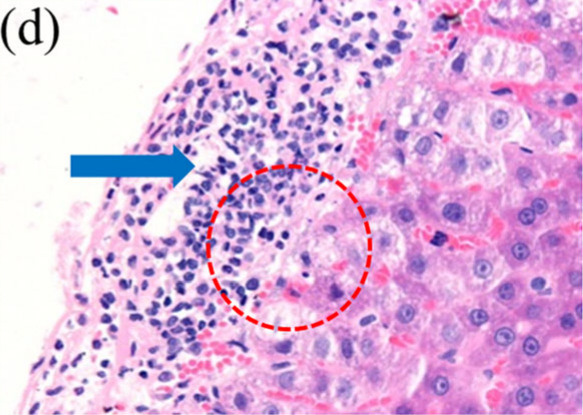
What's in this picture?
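Liver surface with inflammatory cells and hepatocytes. A thin pale fibrous layer lines the free edge; beneath it lies a dense band of small cells with round, dark-purple, compact nuclei and little cytoplasm. Deeper, large polygonal hepatocytes form cords, each with a round central nucleus, visible nucleolus and pale, partly clear or vacuolated pink-purple cytoplasm. Some inflammatory cells intermingle with the outermost hepatocytes. Red blood cells lie in sinusoids between hepatocyte cords and at the border of the inflammatory band.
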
